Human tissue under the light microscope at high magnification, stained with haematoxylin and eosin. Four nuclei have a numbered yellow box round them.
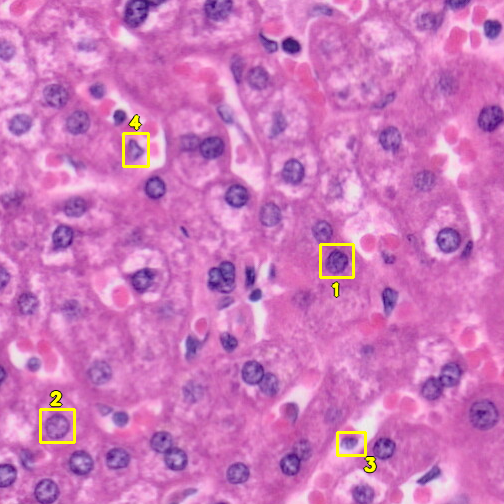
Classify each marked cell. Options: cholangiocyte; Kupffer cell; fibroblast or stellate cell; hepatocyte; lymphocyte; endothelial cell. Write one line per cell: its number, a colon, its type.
1: hepatocyte
2: hepatocyte
3: lymphocyte
4: Kupffer cell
